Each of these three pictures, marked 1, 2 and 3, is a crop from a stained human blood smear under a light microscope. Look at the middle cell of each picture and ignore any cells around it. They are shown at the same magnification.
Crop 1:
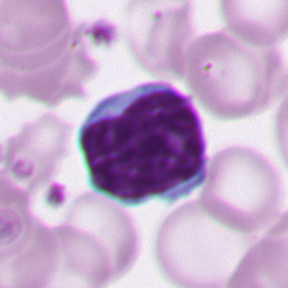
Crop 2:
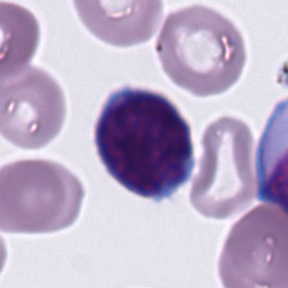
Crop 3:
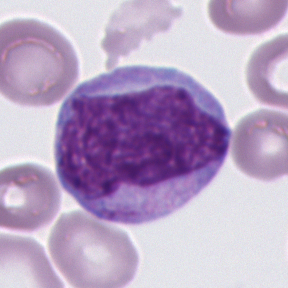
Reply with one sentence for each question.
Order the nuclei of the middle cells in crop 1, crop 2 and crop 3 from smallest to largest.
The order is 2, 1, 3, beginning with the smallest.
